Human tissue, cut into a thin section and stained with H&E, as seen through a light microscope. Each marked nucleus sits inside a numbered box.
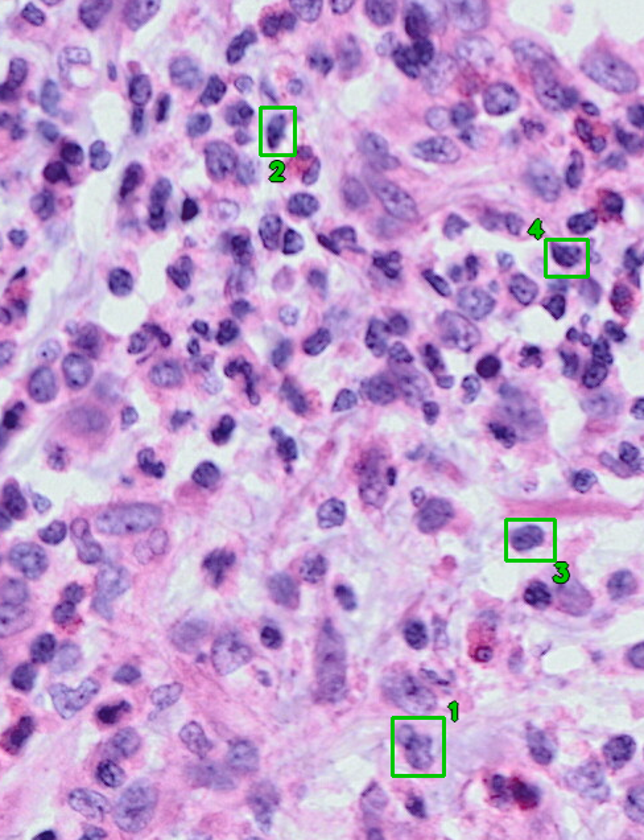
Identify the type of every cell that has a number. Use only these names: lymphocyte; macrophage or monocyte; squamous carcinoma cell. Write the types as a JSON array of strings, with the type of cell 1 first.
["macrophage or monocyte", "lymphocyte", "lymphocyte", "lymphocyte"]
